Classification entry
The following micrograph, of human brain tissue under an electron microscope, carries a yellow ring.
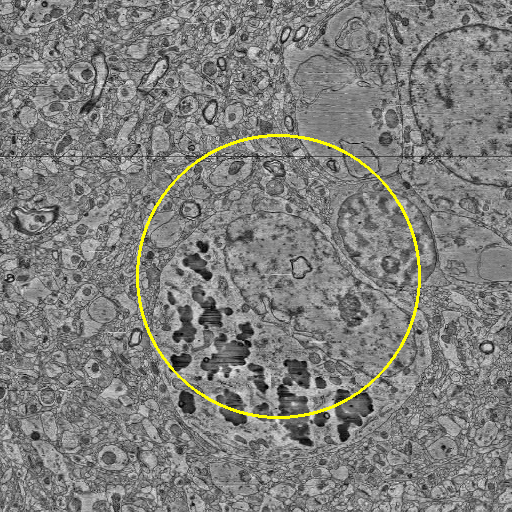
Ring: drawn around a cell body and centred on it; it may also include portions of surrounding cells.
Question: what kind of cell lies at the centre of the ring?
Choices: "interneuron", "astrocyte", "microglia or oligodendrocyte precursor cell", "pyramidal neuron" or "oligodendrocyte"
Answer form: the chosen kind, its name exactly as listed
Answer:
interneuron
